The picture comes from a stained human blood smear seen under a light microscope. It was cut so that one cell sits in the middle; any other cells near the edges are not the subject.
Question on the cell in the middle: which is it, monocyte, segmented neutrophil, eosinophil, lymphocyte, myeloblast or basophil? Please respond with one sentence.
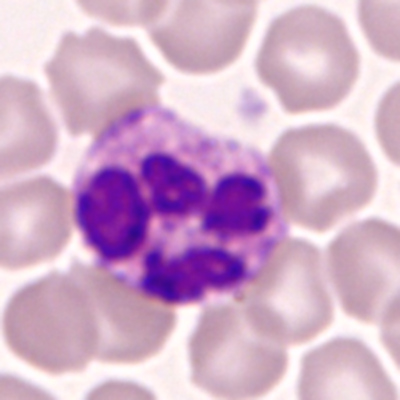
The centrally located cell in the crop is a basophil.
